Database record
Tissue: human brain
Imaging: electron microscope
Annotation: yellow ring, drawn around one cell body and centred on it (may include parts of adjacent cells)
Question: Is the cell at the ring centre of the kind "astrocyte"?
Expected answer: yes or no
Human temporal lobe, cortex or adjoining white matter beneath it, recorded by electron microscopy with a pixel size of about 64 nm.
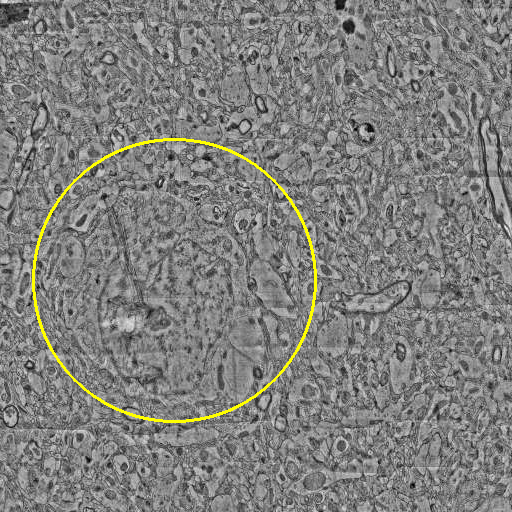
no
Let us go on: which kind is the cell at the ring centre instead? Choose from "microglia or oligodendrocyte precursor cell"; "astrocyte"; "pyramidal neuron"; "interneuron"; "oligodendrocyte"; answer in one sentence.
In this picture, the ring is centred on an interneuron.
